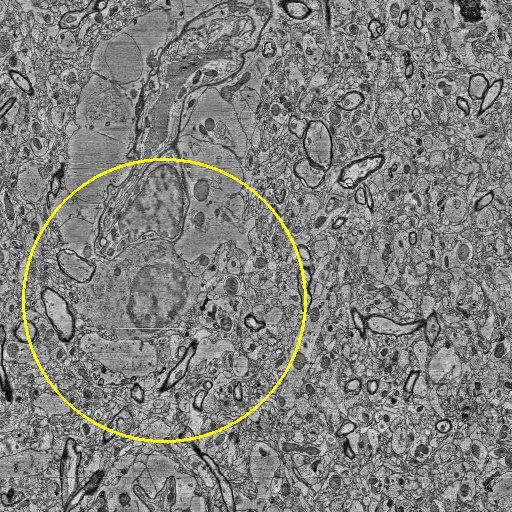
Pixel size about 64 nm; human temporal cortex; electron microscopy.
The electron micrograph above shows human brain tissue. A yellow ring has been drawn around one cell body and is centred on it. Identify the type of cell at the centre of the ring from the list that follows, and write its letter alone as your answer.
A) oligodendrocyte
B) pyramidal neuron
A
